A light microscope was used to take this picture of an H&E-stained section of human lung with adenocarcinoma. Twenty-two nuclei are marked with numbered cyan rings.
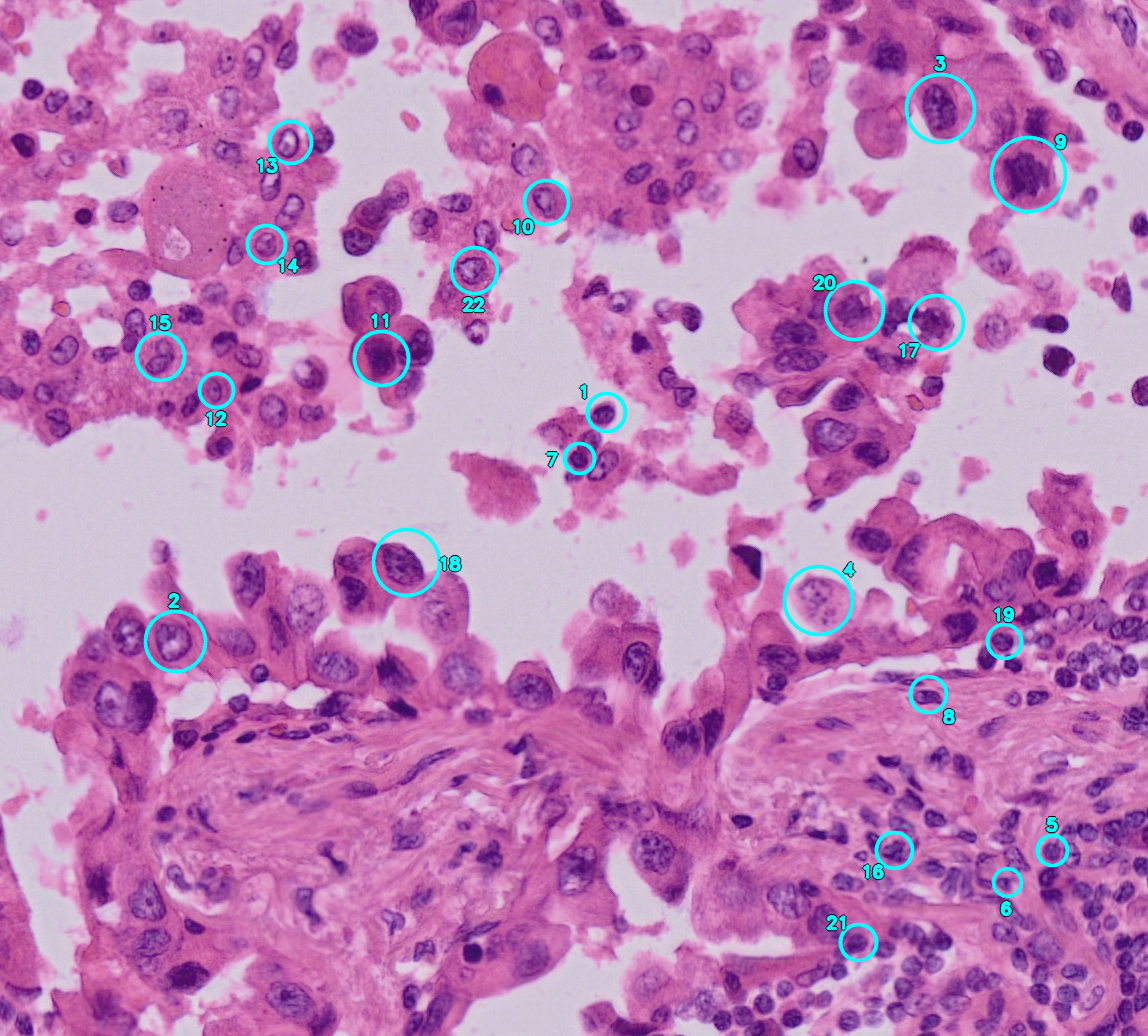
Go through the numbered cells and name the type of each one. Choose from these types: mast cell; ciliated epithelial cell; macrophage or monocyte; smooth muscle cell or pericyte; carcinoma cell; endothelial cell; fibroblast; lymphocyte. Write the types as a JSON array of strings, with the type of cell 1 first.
["lymphocyte", "carcinoma cell", "carcinoma cell", "carcinoma cell", "lymphocyte", "lymphocyte", "lymphocyte", "lymphocyte", "carcinoma cell", "macrophage or monocyte", "carcinoma cell", "macrophage or monocyte", "macrophage or monocyte", "macrophage or monocyte", "macrophage or monocyte", "lymphocyte", "carcinoma cell", "carcinoma cell", "lymphocyte", "carcinoma cell", "lymphocyte", "macrophage or monocyte"]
